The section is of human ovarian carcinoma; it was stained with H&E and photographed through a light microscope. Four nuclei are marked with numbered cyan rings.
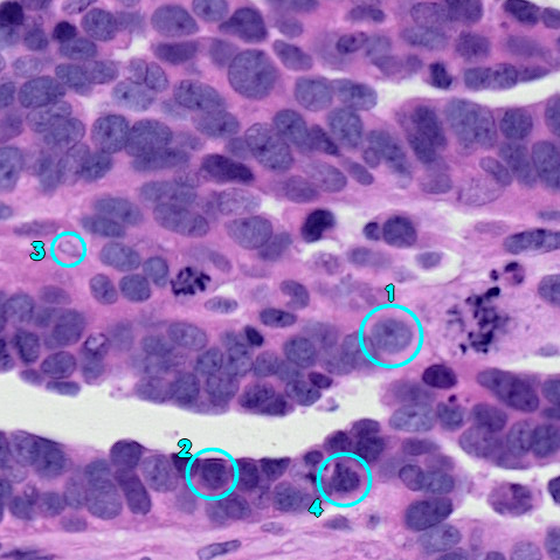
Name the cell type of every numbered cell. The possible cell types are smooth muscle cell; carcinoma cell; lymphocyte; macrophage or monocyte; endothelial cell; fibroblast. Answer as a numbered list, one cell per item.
1. carcinoma cell
2. carcinoma cell
3. fibroblast
4. carcinoma cell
